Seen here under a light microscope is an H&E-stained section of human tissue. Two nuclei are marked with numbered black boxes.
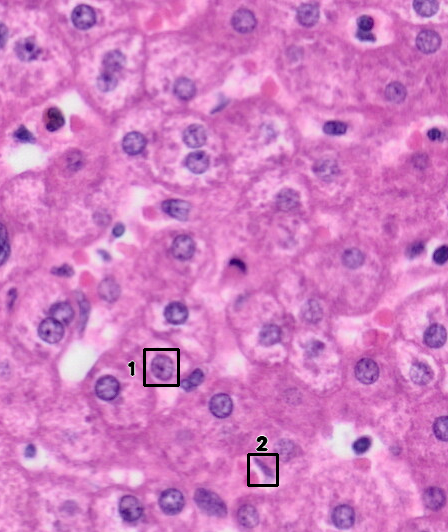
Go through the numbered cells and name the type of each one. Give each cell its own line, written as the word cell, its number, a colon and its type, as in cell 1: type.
cell 1: hepatocyte
cell 2: endothelial cell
